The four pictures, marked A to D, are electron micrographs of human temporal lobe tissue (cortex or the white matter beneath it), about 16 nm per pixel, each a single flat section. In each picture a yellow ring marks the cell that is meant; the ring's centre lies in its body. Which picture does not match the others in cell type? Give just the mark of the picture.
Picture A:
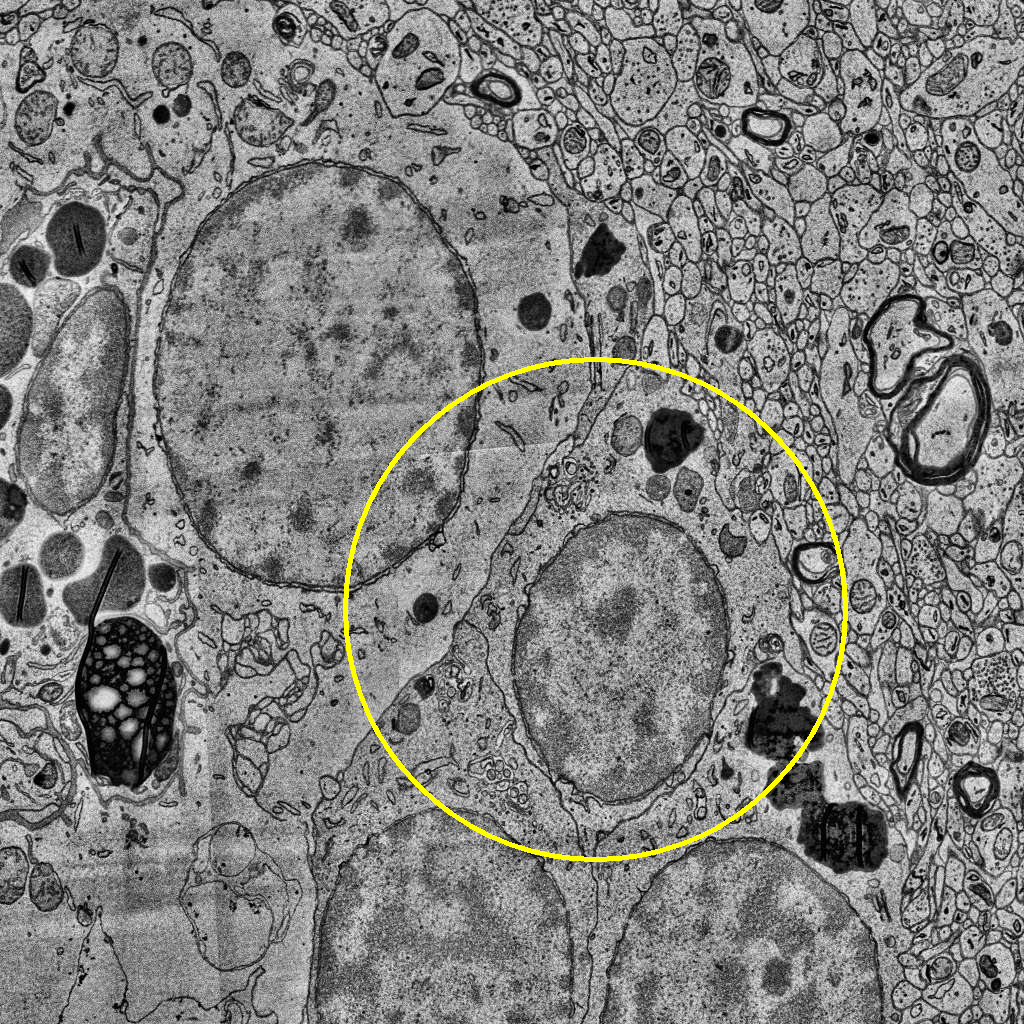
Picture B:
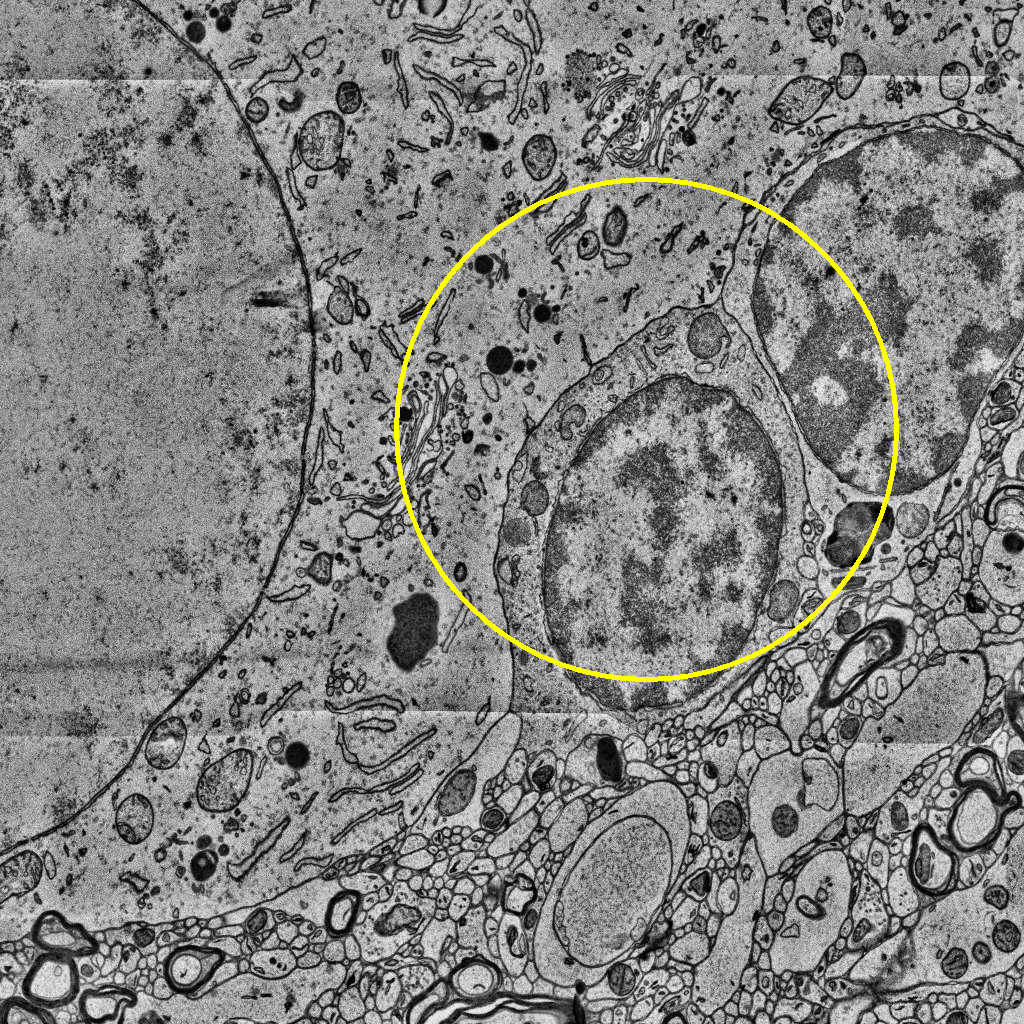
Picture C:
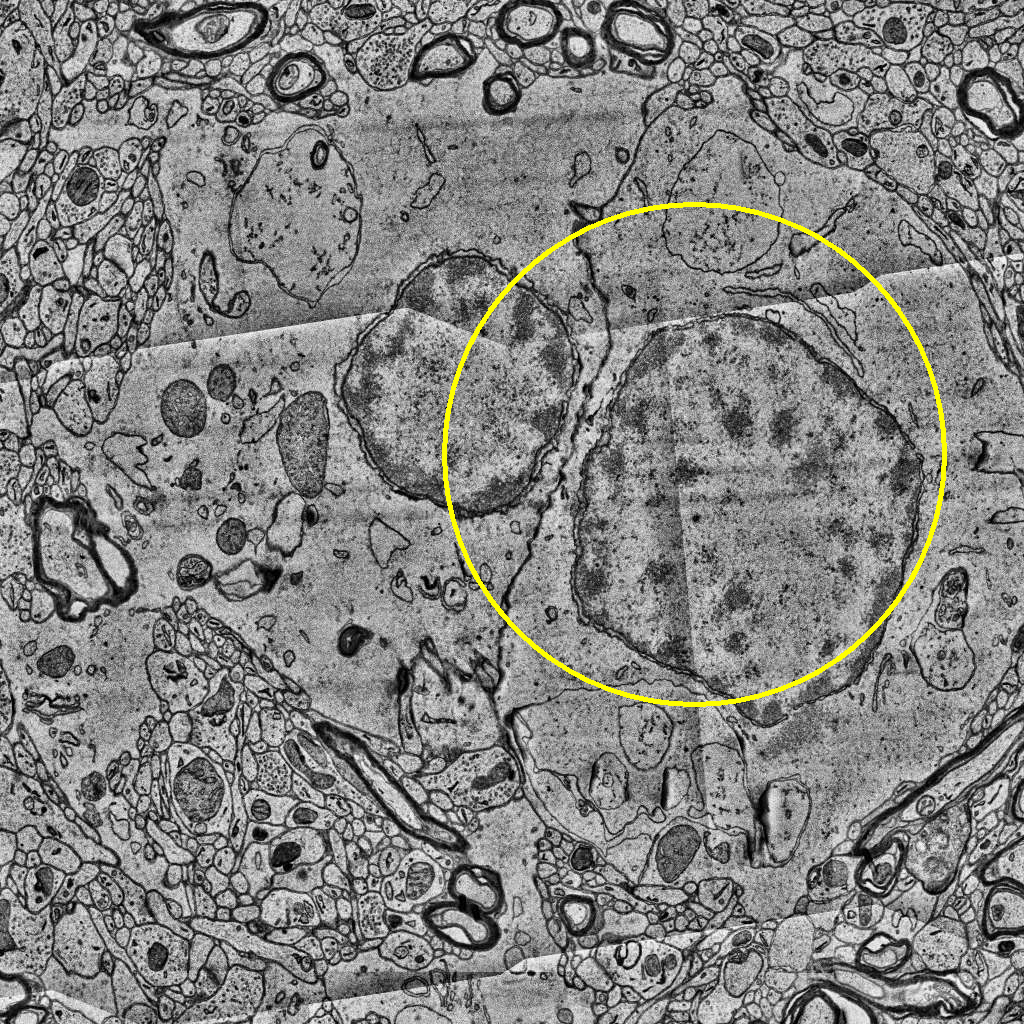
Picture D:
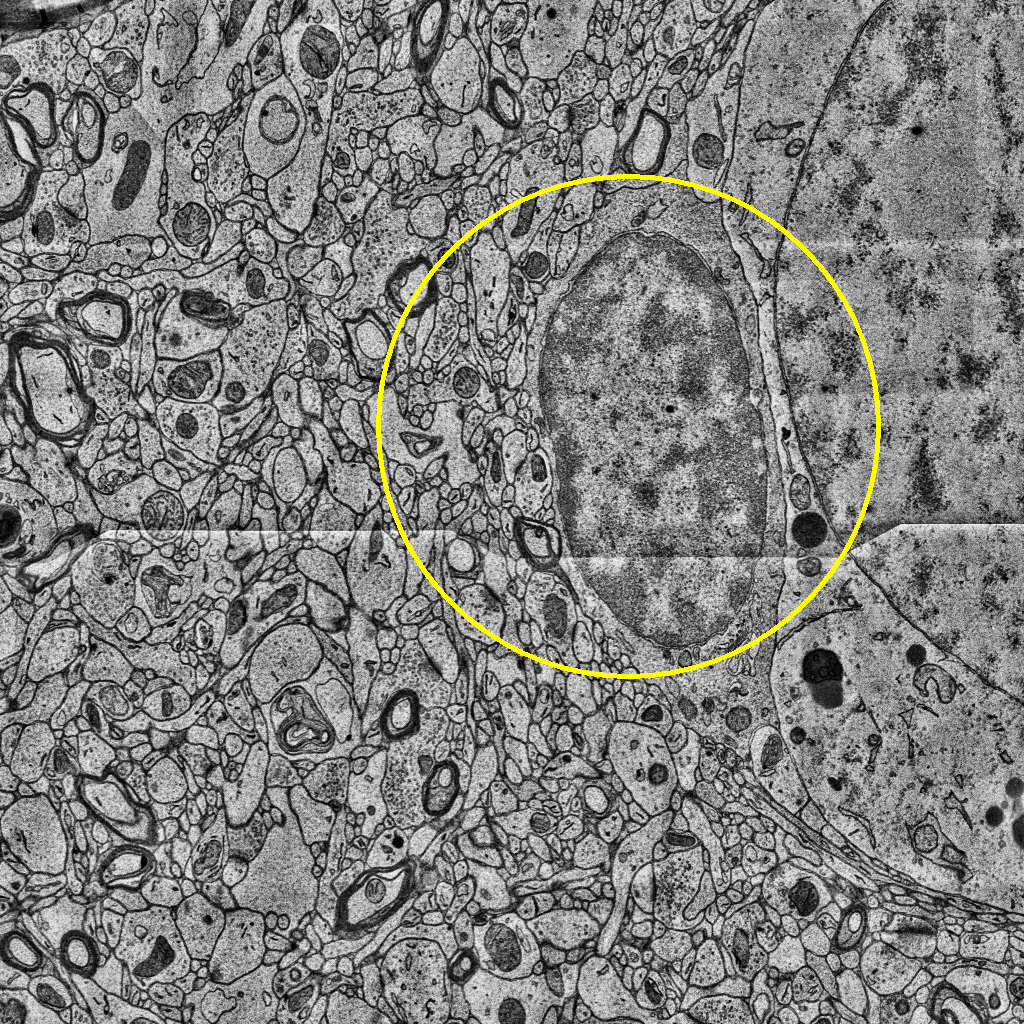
C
